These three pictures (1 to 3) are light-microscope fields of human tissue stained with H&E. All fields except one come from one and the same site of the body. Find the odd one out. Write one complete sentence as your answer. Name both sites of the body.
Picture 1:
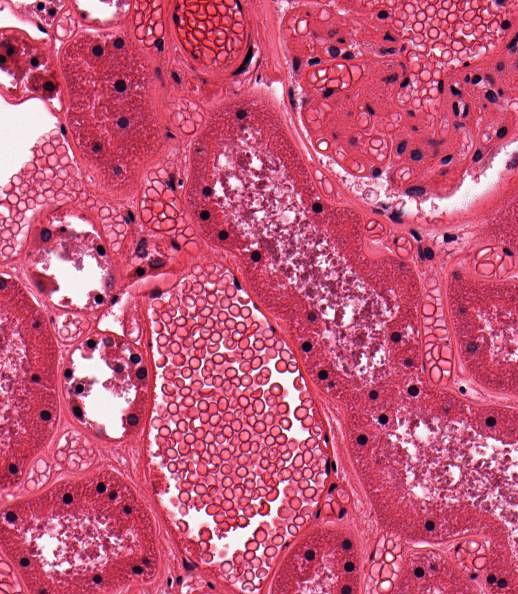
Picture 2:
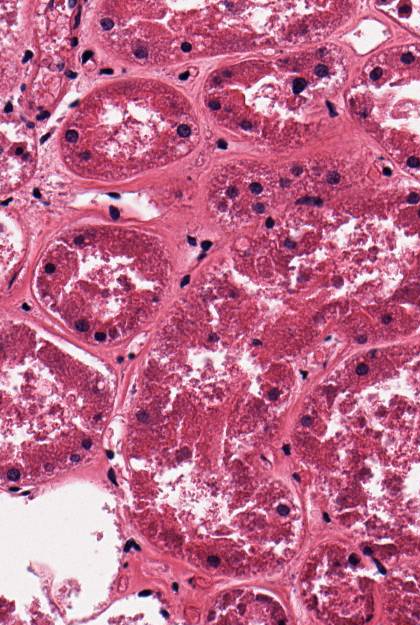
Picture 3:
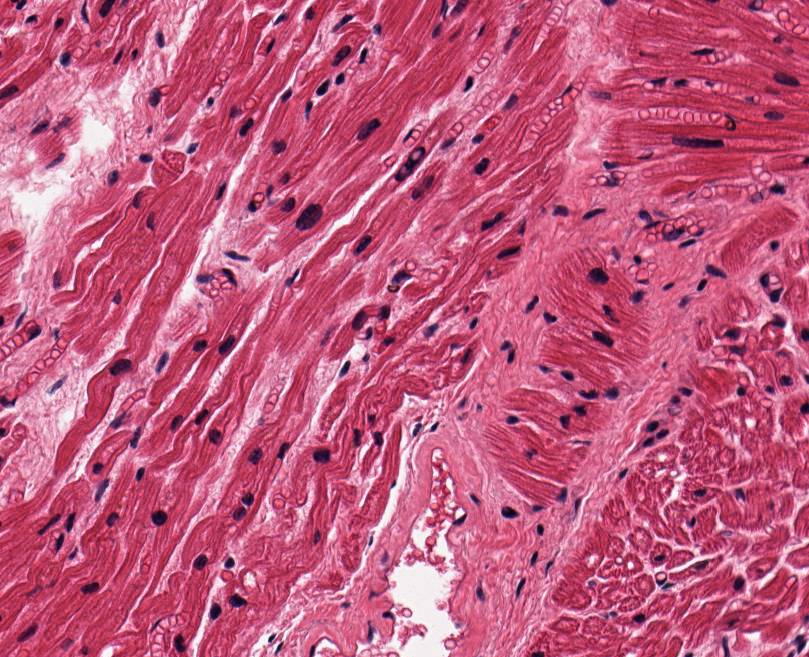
Unlike the rest, which come from the renal cortex, picture 3 comes from the atrial appendage of the heart.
